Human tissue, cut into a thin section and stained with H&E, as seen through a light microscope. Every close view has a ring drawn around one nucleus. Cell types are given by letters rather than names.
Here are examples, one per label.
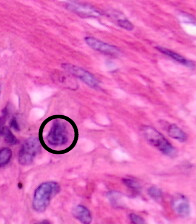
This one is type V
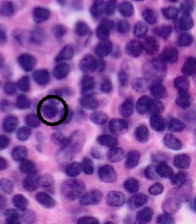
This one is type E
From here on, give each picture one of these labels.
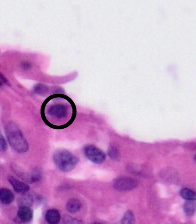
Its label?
type V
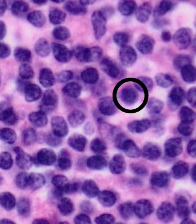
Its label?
type E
